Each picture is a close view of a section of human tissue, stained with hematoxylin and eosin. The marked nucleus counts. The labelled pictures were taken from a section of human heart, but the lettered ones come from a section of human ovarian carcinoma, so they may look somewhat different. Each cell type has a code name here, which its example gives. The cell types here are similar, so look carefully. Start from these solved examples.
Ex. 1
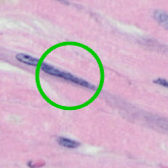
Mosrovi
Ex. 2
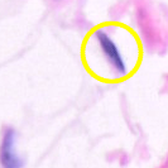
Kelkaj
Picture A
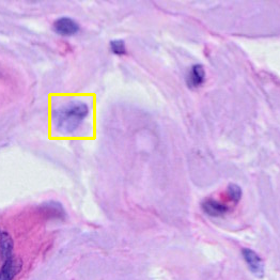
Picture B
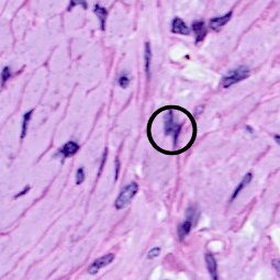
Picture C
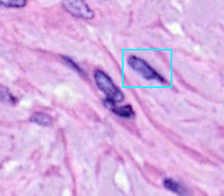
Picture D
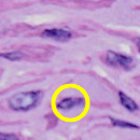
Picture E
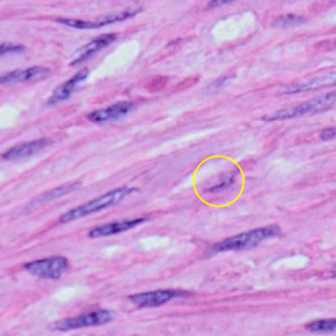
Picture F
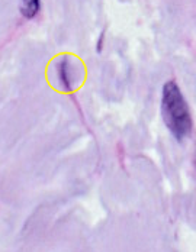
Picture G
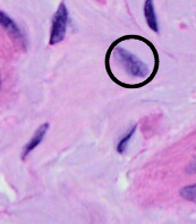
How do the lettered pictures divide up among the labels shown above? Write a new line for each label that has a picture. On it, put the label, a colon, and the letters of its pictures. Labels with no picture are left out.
Kelkaj: A, B, C, D, E, F, G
